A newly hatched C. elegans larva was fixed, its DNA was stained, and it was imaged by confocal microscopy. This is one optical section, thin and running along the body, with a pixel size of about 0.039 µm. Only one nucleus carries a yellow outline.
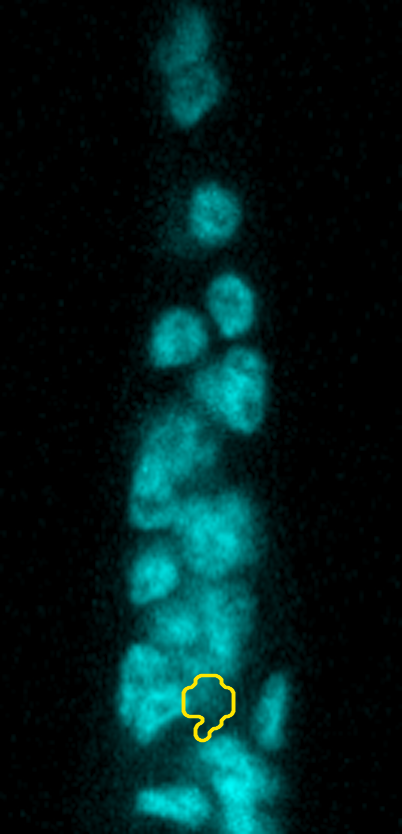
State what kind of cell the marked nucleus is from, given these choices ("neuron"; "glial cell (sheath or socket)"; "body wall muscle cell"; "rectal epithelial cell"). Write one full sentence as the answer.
What is marked is the nucleus of a neuron.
